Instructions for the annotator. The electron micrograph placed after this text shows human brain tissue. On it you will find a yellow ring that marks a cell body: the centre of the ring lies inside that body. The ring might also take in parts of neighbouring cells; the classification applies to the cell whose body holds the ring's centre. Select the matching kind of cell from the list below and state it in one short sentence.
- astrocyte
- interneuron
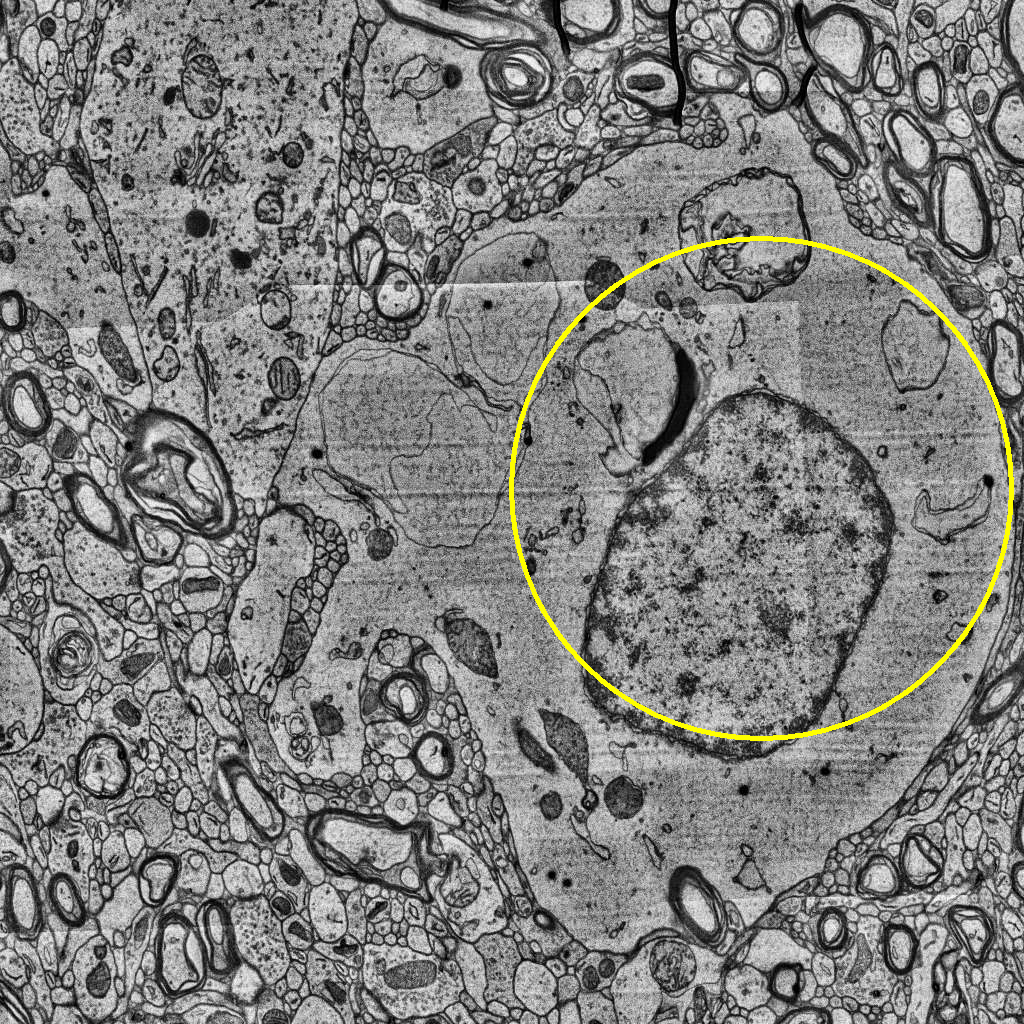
The centre of the ring lies in the cell body of an astrocyte.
